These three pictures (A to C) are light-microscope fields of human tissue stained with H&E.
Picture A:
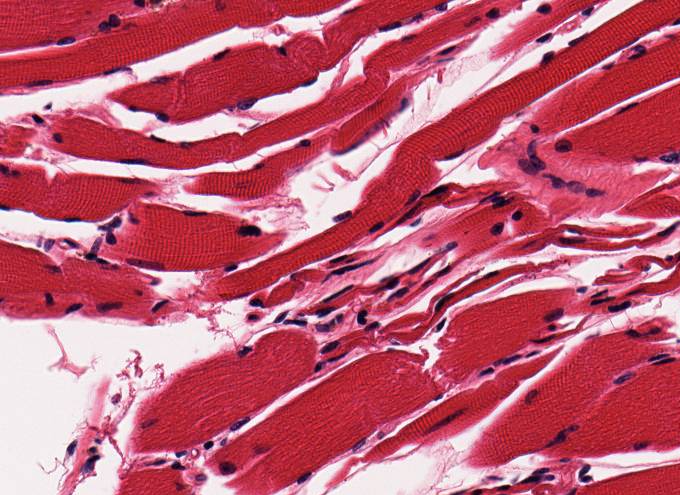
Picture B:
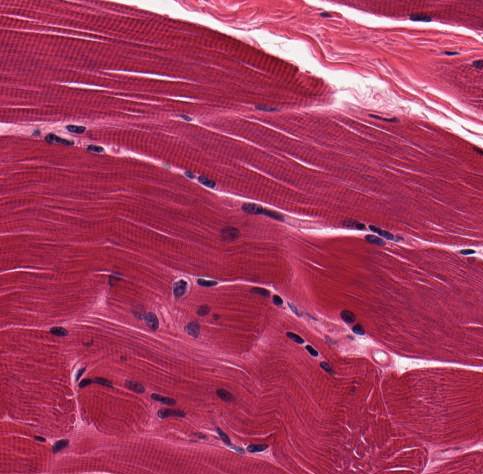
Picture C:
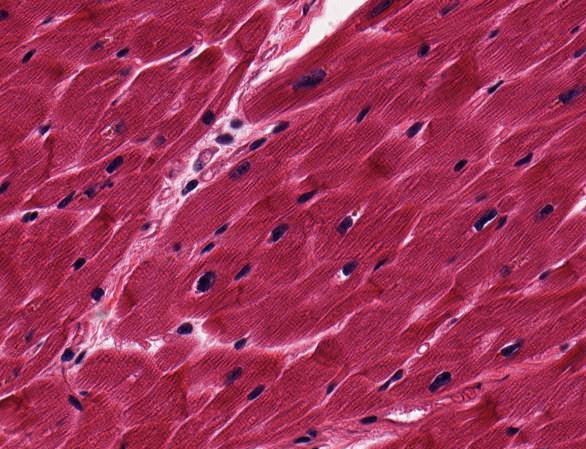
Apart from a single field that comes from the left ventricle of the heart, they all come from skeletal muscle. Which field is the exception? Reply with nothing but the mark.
C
